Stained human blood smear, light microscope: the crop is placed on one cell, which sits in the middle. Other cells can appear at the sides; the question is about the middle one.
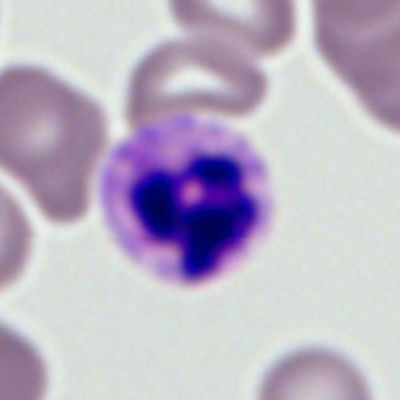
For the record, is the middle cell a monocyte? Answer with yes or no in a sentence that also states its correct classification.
No, instead of a monocyte, the middle cell is a segmented neutrophil.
